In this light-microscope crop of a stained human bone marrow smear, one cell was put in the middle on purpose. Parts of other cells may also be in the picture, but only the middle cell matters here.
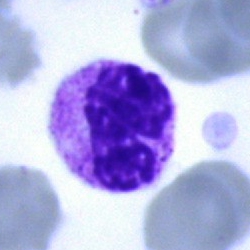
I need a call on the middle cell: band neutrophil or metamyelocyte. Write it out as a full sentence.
This crop has a band neutrophil at its centre.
